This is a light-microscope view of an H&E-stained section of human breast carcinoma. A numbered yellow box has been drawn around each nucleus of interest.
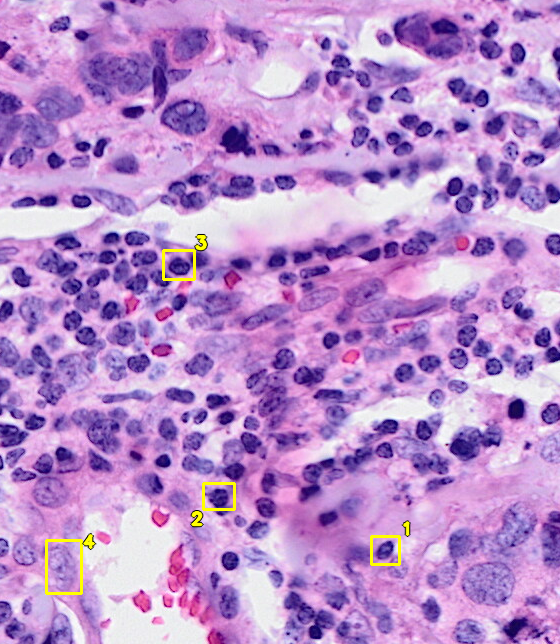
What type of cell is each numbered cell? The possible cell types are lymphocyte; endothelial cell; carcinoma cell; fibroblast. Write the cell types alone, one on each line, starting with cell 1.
lymphocyte
lymphocyte
lymphocyte
endothelial cell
